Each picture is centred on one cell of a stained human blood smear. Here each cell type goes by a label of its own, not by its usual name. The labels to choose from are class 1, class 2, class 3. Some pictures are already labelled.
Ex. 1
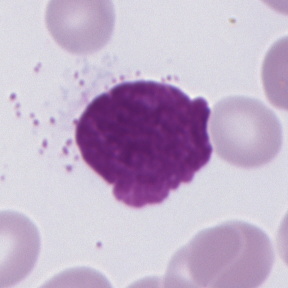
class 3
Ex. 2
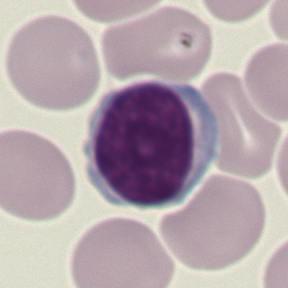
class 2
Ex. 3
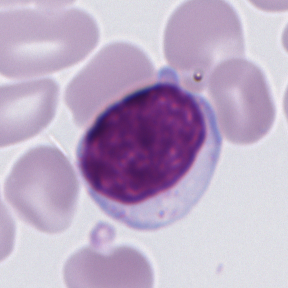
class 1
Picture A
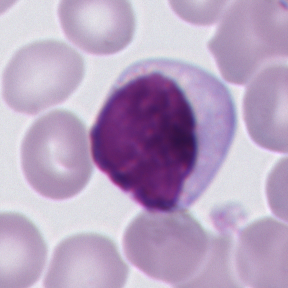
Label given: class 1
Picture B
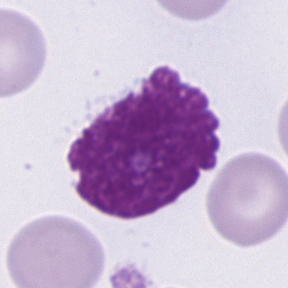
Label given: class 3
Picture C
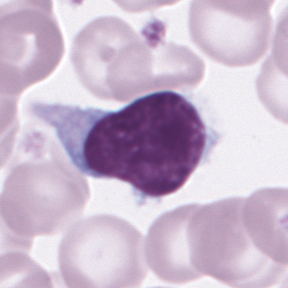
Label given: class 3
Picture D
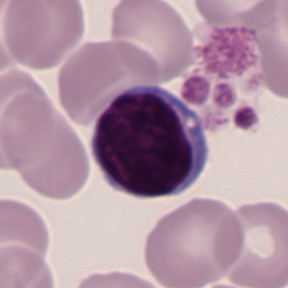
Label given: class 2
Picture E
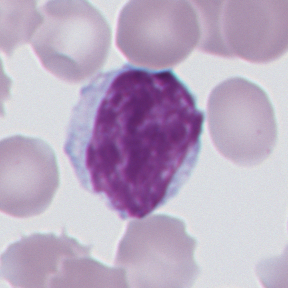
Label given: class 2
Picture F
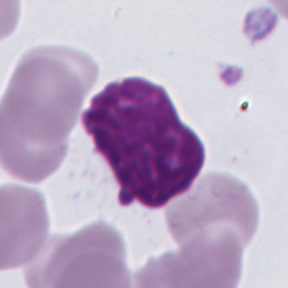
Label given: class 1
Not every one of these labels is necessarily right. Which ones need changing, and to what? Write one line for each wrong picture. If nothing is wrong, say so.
C: not class 3 but class 2
F: not class 1 but class 3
